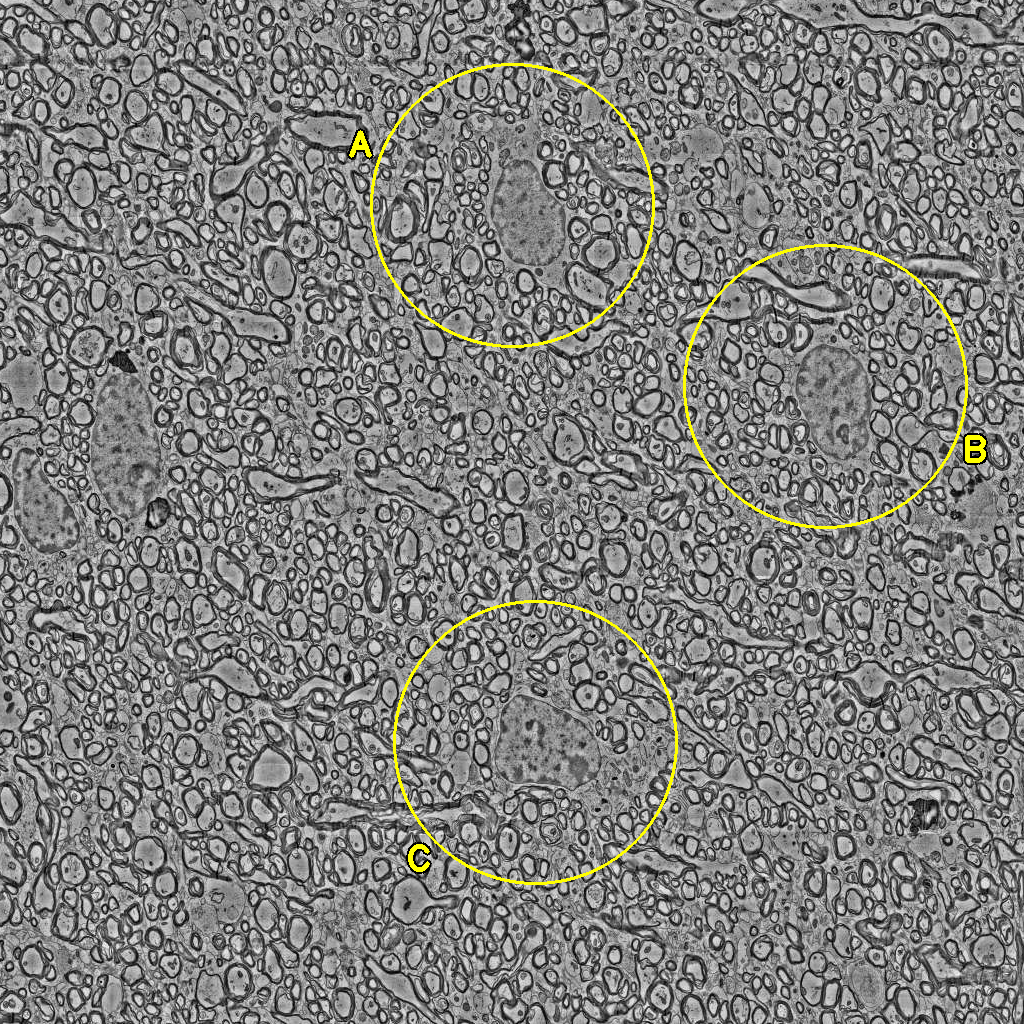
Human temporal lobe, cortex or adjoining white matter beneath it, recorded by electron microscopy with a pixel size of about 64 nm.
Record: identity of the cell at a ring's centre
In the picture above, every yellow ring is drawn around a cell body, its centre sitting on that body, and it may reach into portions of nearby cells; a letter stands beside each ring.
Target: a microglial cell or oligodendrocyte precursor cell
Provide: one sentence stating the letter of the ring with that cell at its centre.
The letter of the ring centred on a cell of that kind is C.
